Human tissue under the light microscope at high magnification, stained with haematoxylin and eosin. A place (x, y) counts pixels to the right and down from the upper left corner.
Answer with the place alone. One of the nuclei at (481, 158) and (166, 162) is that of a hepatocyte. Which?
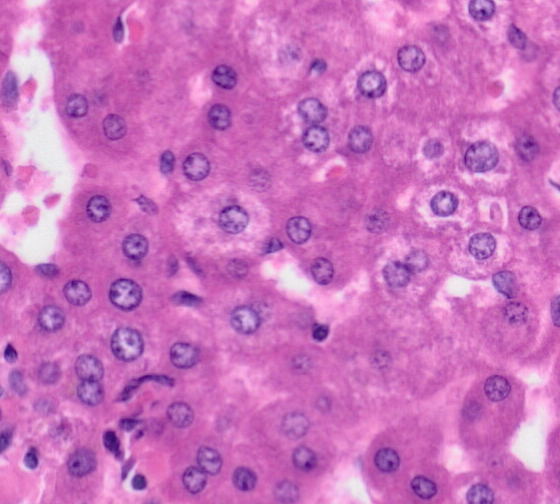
(481, 158)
